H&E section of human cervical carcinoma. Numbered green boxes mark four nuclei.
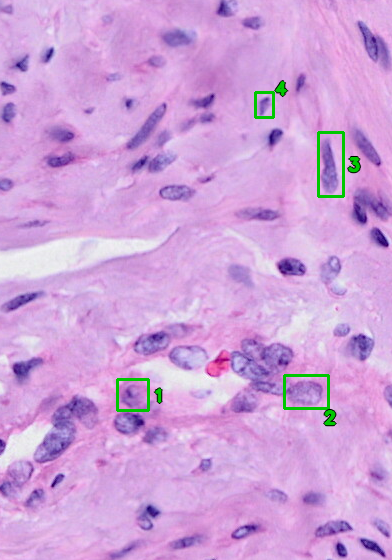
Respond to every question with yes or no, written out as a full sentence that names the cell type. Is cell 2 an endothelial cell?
Yes, correct, the cell with the number 2 is an endothelial cell.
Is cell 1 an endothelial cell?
Yes, number 1 marks a cell that is an endothelial cell.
